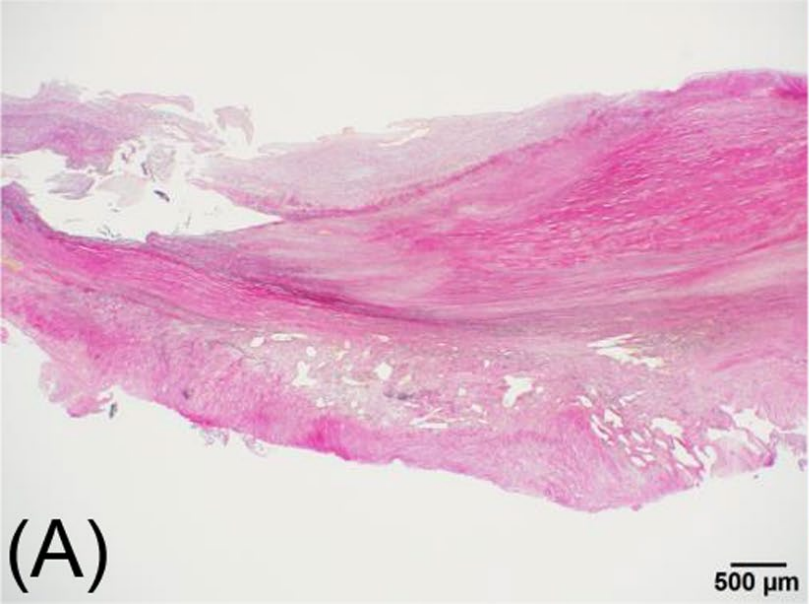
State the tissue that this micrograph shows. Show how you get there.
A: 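Fibrous tissue. A long band of densely packed pink-red fibres running lengthwise. Few cell nuclei are discernible among the fibres at this magnification.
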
